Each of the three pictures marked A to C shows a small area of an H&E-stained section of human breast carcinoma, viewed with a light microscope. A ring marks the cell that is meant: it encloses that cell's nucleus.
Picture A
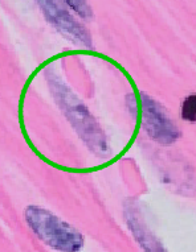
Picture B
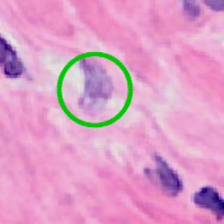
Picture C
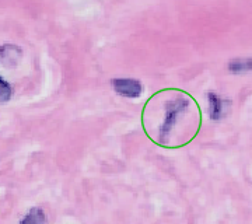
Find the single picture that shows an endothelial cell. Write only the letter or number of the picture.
A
